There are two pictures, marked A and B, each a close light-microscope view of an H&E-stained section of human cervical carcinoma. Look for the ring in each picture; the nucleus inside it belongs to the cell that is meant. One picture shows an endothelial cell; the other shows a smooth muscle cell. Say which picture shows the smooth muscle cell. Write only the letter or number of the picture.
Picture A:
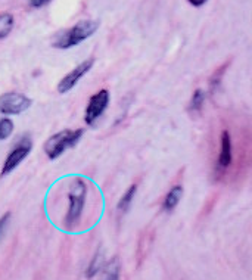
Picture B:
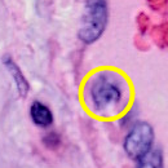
A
